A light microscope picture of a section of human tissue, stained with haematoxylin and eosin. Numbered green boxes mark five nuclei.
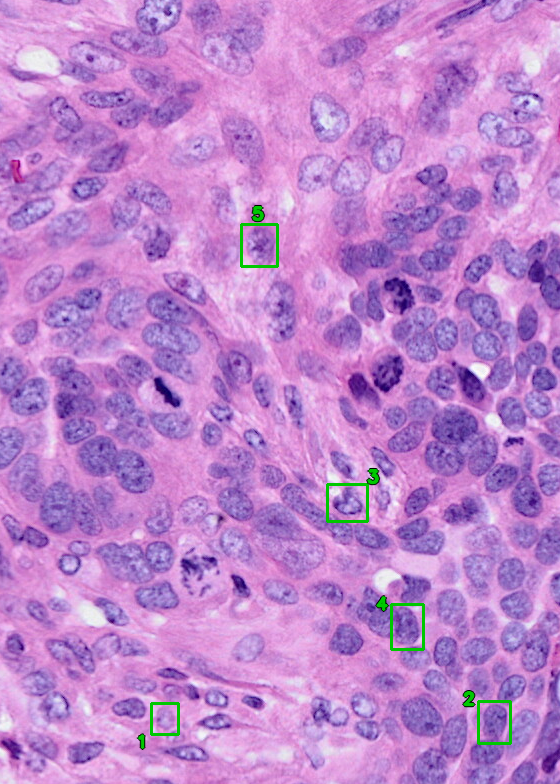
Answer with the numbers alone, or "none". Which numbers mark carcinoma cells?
2, 4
